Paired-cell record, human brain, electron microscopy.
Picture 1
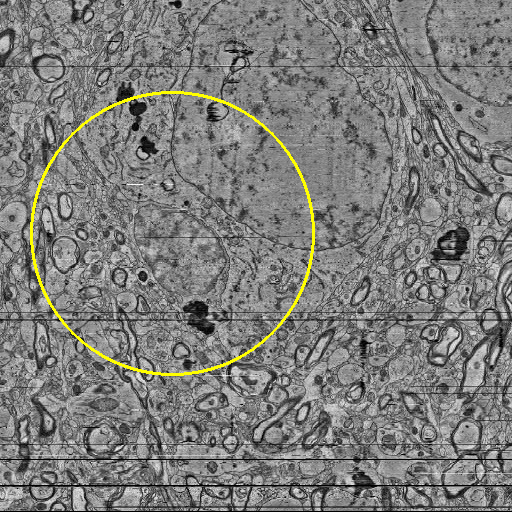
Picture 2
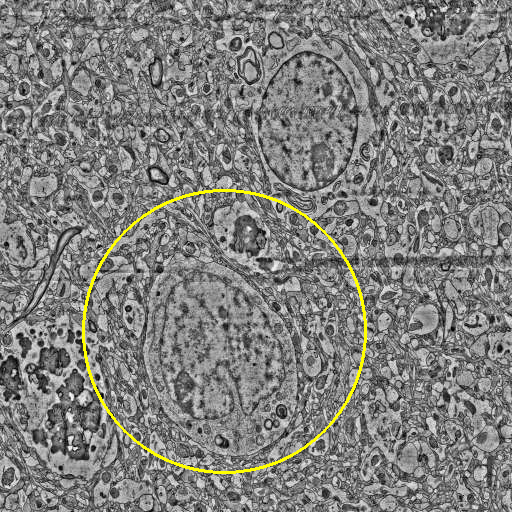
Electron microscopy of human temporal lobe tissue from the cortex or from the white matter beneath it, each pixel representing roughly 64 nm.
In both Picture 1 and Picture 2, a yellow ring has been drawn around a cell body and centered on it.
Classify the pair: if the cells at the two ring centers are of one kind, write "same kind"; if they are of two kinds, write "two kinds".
two kinds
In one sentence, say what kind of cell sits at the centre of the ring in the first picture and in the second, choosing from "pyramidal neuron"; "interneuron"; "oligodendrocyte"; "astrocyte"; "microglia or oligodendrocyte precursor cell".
The first picture's ringed cell is an oligodendrocyte, while the second picture's is an interneuron.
